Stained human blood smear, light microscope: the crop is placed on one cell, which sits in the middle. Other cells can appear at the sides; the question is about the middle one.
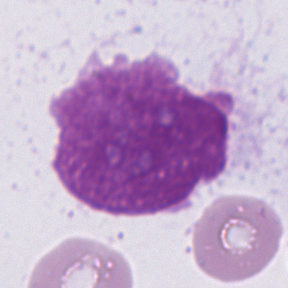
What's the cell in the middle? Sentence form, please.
The cell centred in this crop is categorized as a smudge cell.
